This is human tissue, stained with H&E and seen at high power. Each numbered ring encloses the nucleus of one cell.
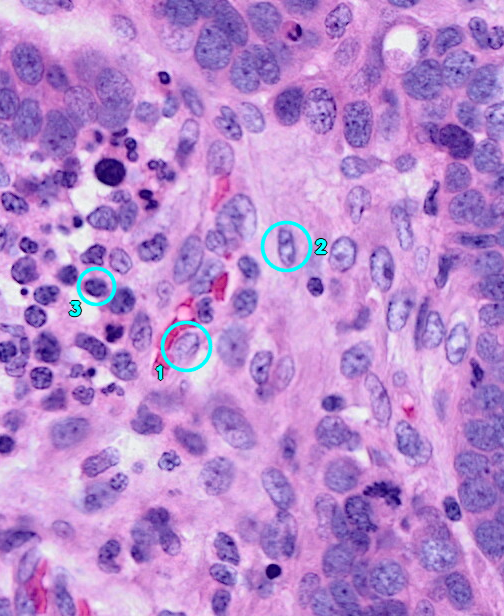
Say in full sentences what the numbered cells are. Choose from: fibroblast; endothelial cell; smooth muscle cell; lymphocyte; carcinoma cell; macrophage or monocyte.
Cell 1 is an endothelial cell, cell 2 is a fibroblast and cell 3 is a lymphocyte.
